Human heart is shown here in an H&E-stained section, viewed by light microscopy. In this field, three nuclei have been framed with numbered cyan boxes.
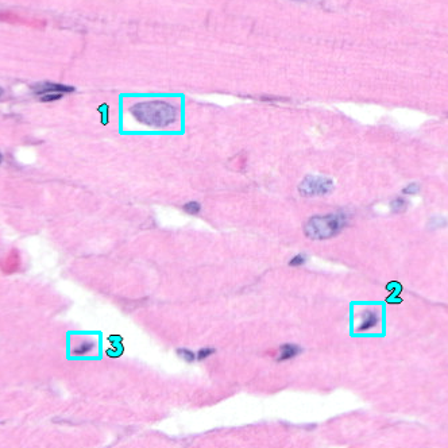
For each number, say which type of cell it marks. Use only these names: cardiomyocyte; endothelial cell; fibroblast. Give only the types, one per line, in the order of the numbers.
cardiomyocyte
endothelial cell
endothelial cell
